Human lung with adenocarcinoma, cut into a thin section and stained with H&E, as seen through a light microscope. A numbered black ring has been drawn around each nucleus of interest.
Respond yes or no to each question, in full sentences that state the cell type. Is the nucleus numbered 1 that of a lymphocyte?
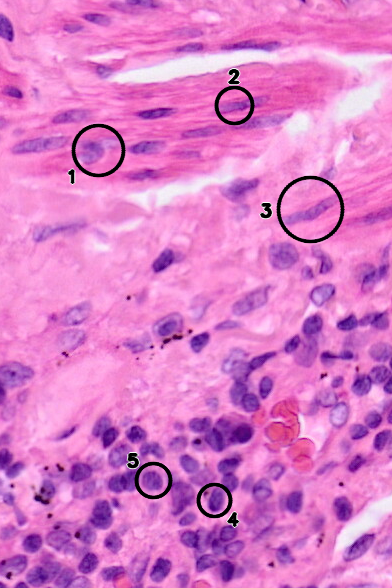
No, the cell that carries number 1 is a smooth muscle cell or pericyte, not a lymphocyte.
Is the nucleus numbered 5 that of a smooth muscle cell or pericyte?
No, number 5 is assigned to a lymphocyte, not to a smooth muscle cell or pericyte.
